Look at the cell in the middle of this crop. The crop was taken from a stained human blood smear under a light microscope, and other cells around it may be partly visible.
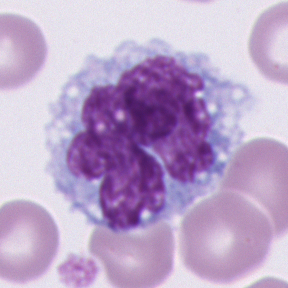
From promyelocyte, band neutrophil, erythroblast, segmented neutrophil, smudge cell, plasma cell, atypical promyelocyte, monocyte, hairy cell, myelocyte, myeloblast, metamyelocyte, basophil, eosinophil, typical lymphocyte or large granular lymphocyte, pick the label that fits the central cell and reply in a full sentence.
At the center of the crop sits a monocyte.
